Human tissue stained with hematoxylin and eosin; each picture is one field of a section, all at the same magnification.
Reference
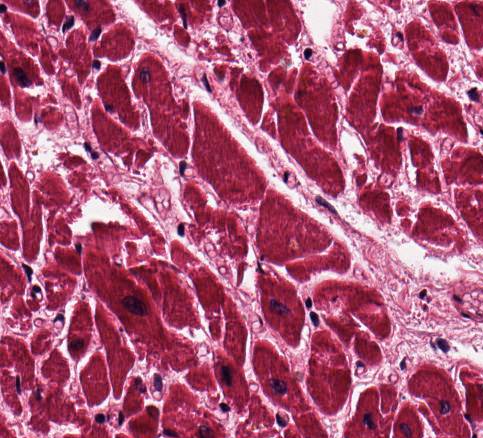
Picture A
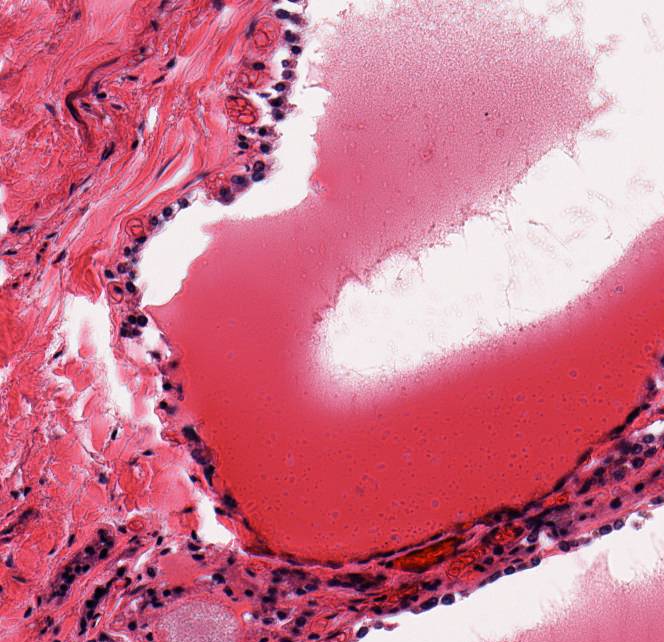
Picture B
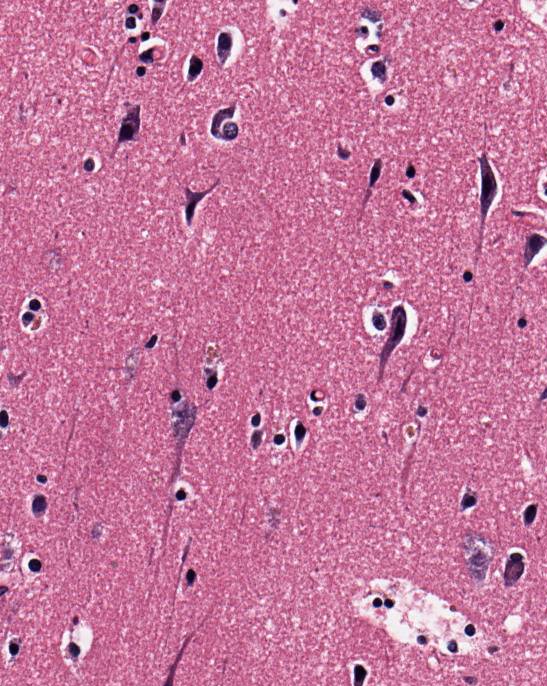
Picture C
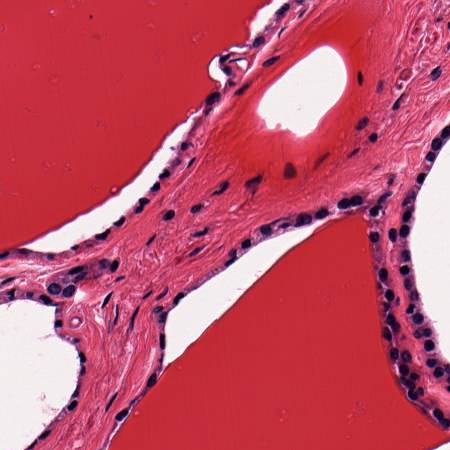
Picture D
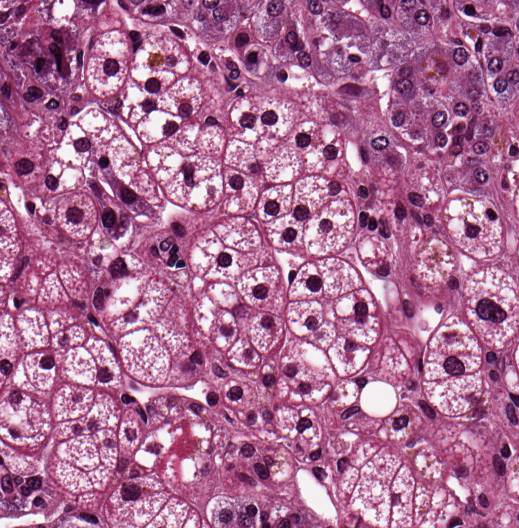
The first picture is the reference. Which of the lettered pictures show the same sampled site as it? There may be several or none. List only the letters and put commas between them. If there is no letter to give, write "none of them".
none of them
